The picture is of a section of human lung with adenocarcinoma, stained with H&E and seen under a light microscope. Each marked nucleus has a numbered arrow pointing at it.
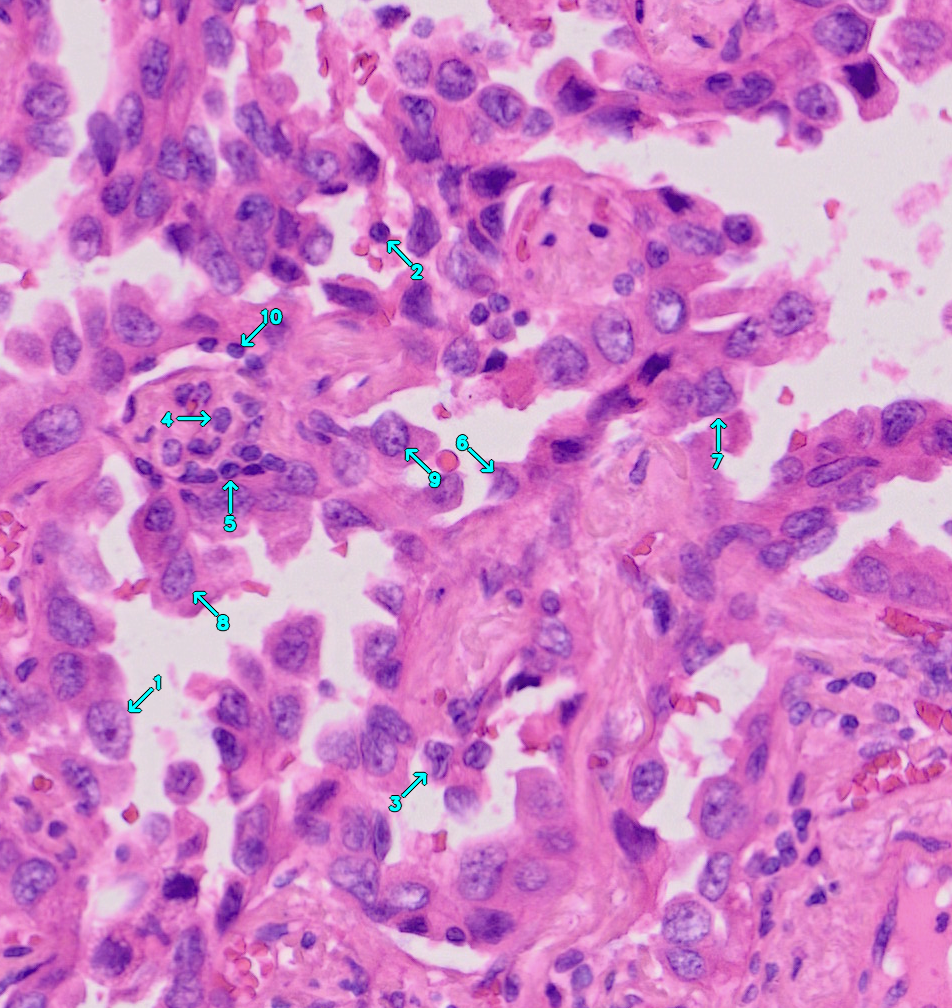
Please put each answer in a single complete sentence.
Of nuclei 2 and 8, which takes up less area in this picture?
Nucleus 2 covers less area, with nucleus 8 about 3 times as large.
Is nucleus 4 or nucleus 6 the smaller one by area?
The smaller nucleus is 4, and 6 covers roughly 2 times its area.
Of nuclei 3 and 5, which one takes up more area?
It is nucleus 3, which covers about 2.5 times the area of nucleus 5.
